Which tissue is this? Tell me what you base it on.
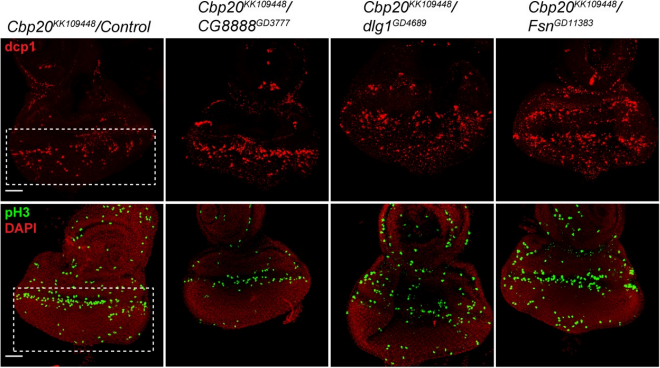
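Flat epithelial sacs with a broad posterior region and narrower anterior lobes. Scattered labelled nuclei concentrated in a band across the tissue. The answer: larval eye discs.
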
